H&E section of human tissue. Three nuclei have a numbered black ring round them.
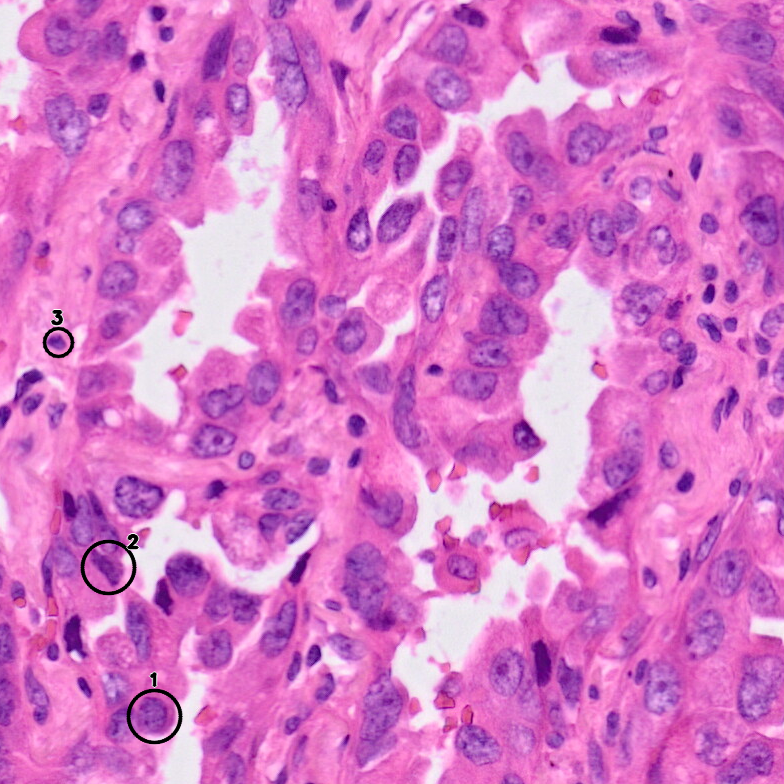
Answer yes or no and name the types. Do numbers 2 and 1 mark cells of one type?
Yes, both are carcinoma cells.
